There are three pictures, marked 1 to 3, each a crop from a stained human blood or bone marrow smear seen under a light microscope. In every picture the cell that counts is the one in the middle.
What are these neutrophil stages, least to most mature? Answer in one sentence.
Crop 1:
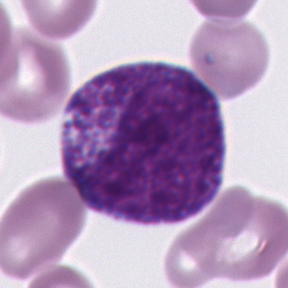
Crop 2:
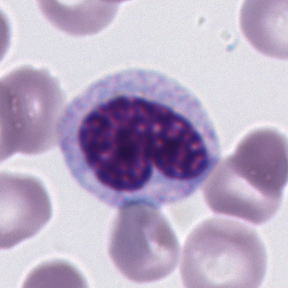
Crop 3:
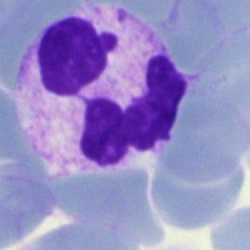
The correct order from least to most mature is crop 1 (a myelocyte), crop 2 (a band neutrophil) and crop 3 (a segmented neutrophil).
